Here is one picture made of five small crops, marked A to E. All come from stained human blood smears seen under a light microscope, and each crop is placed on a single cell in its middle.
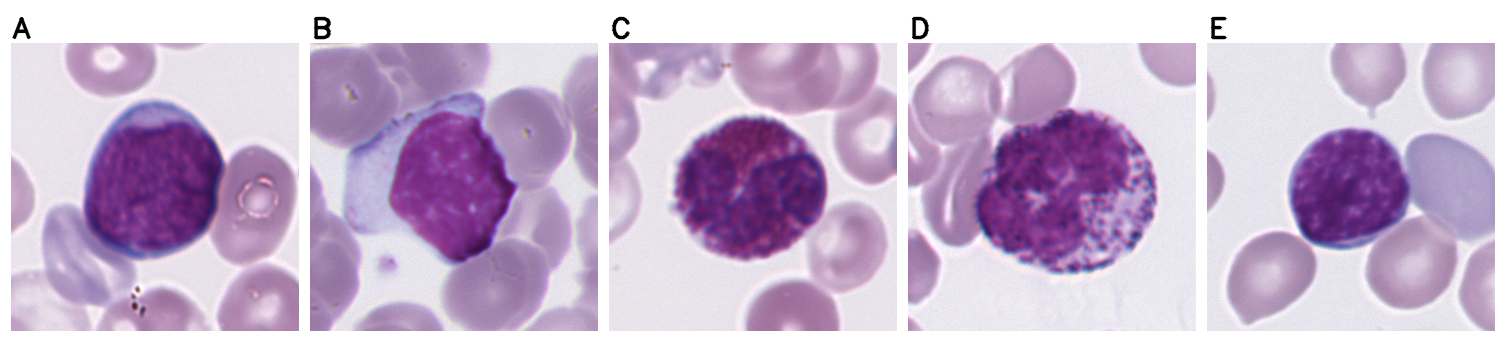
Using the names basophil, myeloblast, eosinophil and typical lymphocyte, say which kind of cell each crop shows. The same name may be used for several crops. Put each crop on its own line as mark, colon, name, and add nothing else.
A: myeloblast
B: typical lymphocyte
C: eosinophil
D: basophil
E: typical lymphocyte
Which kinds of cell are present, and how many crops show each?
typical lymphocyte: 2
myeloblast: 1
eosinophil: 1
basophil: 1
